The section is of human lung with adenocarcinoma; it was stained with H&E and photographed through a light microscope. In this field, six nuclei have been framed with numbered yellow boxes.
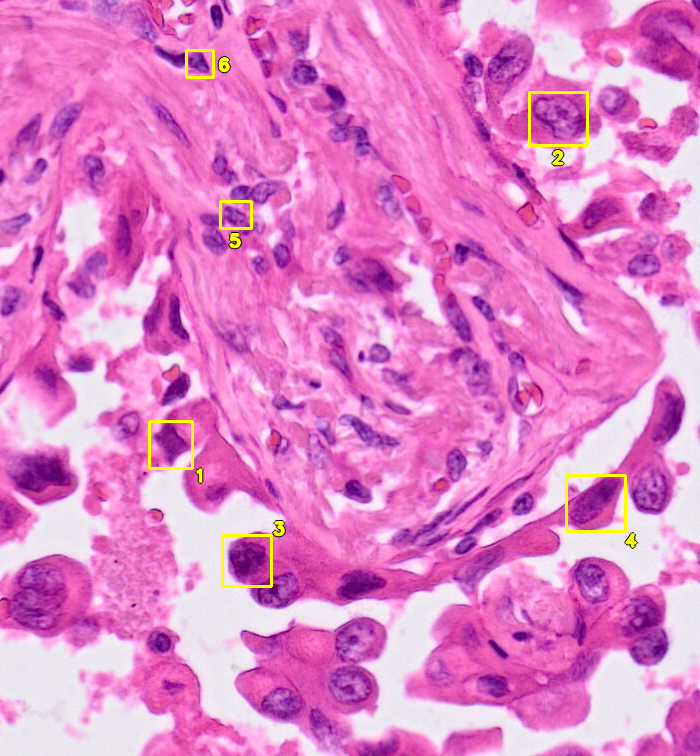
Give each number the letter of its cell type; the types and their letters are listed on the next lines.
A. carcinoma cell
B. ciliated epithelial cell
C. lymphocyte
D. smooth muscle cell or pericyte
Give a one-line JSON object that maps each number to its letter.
{"1": "A", "2": "A", "3": "A", "4": "A", "5": "C", "6": "C"}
